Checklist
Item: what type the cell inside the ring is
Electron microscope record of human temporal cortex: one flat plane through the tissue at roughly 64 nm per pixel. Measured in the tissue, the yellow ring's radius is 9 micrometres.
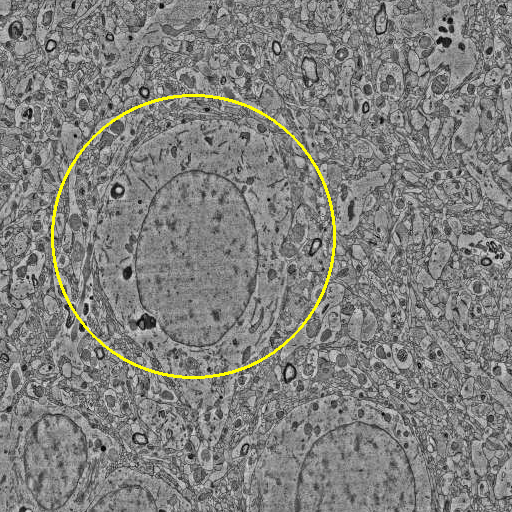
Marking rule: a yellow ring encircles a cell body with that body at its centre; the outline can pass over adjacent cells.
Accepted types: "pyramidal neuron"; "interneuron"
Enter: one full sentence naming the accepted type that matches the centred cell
The entry is that a pyramidal neuron lies at the centre of the yellow ring.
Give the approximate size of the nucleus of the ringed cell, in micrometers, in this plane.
The nucleus has a long axis of about 11 micrometres and a short axis of about 8 micrometres in this plane.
